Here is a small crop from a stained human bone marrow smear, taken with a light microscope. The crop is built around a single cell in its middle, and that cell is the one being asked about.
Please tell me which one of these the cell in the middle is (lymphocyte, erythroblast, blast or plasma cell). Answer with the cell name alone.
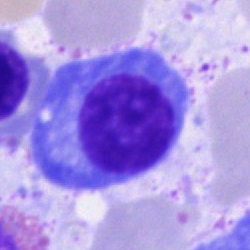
plasma cell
